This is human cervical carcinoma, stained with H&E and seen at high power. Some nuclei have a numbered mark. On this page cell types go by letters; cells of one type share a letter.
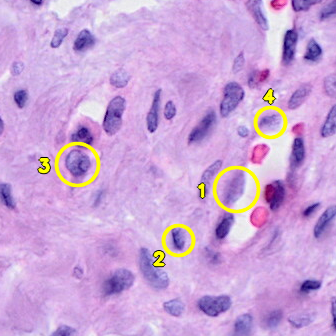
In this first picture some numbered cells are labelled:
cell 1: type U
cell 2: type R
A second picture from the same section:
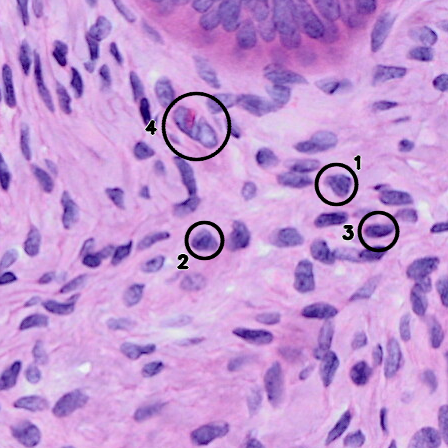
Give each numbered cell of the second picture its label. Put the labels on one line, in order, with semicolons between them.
type R; type R; type R; type U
